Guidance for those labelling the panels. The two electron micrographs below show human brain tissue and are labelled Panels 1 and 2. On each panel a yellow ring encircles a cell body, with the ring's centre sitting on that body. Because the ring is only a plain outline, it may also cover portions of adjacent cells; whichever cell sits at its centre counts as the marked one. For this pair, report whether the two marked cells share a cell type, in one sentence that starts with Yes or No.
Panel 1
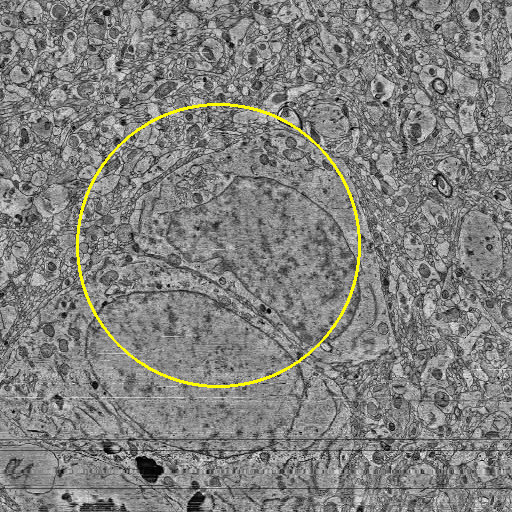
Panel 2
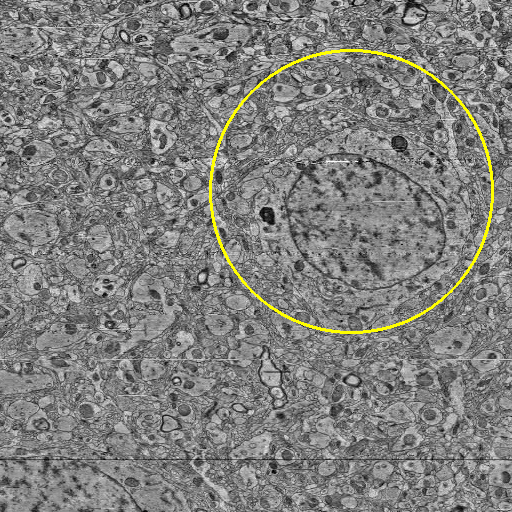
No, in Panel 1 and Panel 2 the marked cells at the ring centres are of two types.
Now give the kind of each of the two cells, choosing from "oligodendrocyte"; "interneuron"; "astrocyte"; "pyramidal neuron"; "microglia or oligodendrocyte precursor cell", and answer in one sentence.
The cell in the first picture is an interneuron, and the cell in the second is a pyramidal neuron.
